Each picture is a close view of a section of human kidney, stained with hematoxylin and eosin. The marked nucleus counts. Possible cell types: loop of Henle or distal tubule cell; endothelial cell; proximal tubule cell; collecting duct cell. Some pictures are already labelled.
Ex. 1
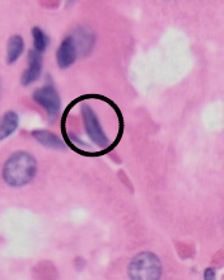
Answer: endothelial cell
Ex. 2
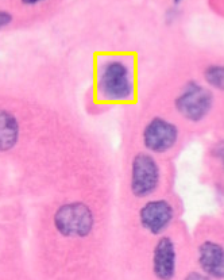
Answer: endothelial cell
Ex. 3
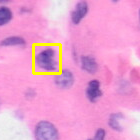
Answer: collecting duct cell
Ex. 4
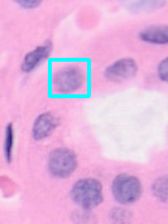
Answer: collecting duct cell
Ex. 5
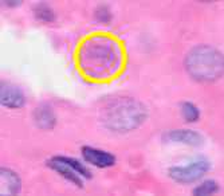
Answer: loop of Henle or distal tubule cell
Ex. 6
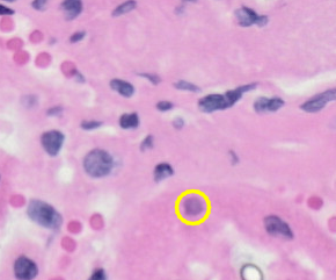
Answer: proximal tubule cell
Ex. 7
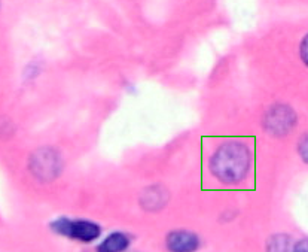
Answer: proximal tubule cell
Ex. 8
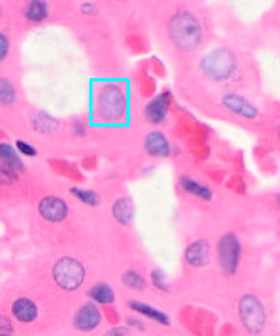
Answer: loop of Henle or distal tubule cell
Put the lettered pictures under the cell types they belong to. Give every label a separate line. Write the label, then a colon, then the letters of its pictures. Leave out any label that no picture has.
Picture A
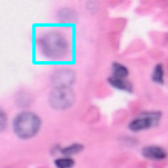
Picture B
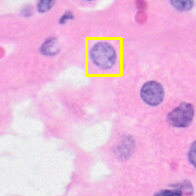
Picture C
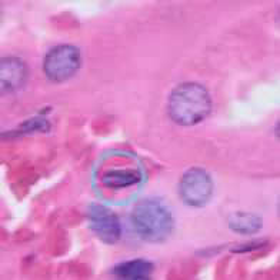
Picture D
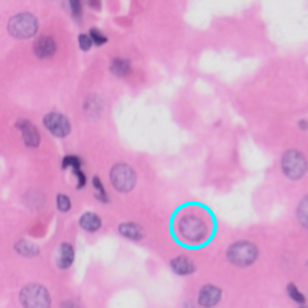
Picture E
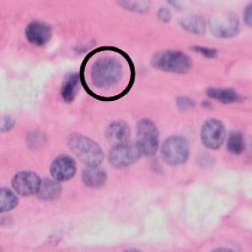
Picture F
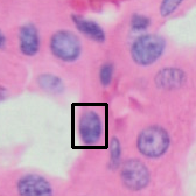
loop of Henle or distal tubule cell: E, F
endothelial cell: C
proximal tubule cell: B, D
collecting duct cell: A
